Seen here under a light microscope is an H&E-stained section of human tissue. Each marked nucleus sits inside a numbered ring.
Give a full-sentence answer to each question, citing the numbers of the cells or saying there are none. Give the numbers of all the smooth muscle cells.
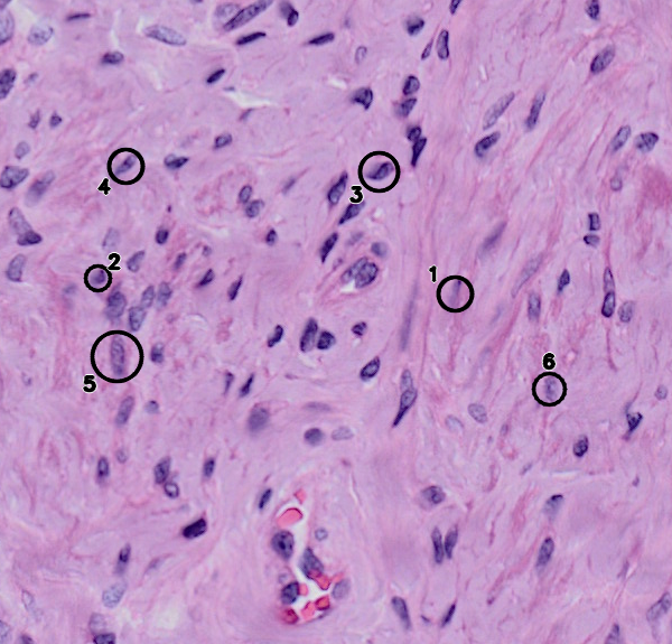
Cells that were given the numbers 1, 2, 5 and 6 are smooth muscle cells.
